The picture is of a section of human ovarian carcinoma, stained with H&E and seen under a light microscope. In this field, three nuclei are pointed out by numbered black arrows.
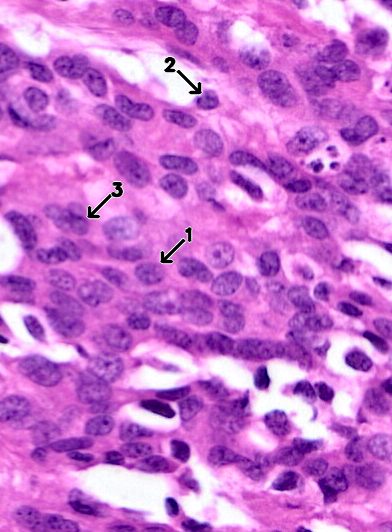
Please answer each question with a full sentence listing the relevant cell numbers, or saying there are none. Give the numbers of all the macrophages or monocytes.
Of the cells bearing numbers, the only one that is a macrophage or monocyte is cell 2.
